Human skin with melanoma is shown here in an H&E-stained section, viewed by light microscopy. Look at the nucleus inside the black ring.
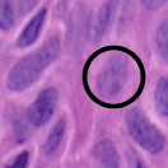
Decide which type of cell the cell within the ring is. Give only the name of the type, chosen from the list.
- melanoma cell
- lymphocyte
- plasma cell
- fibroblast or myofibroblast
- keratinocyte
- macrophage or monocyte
keratinocyte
